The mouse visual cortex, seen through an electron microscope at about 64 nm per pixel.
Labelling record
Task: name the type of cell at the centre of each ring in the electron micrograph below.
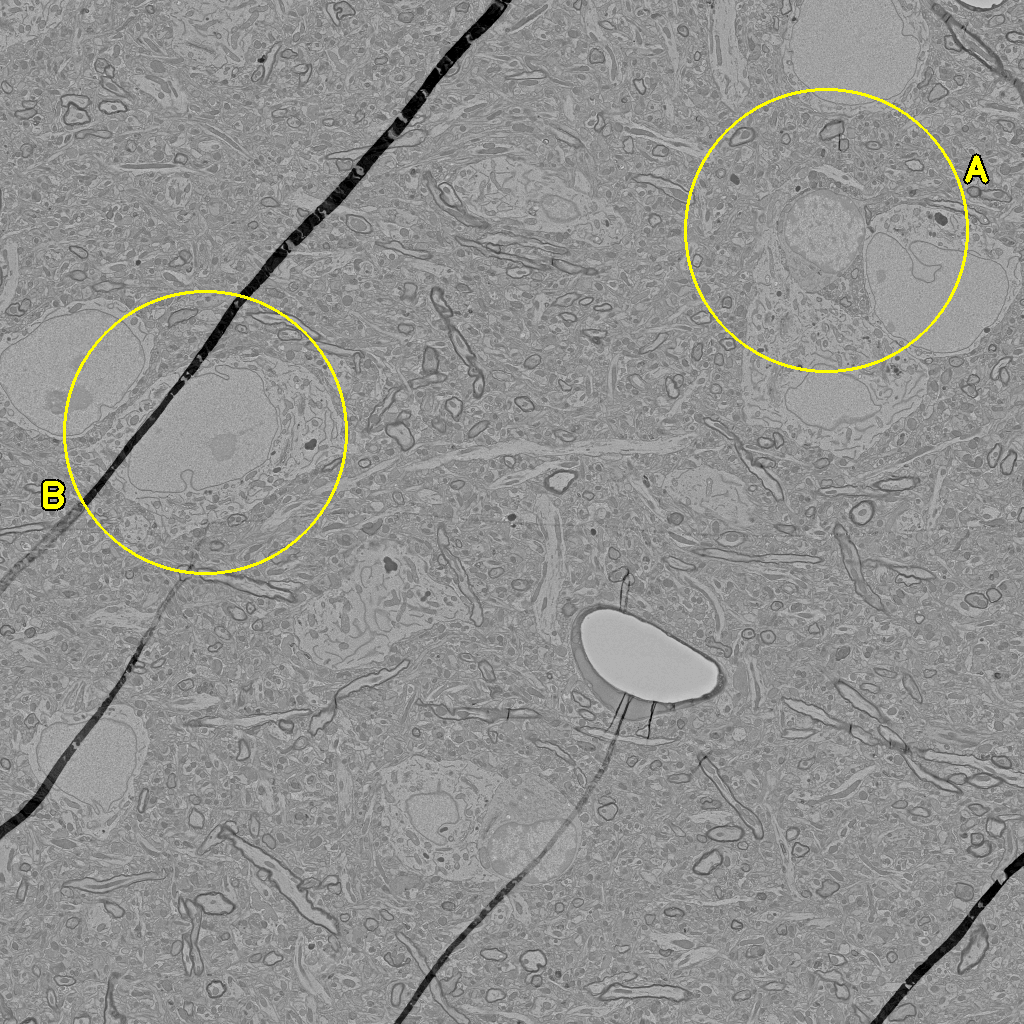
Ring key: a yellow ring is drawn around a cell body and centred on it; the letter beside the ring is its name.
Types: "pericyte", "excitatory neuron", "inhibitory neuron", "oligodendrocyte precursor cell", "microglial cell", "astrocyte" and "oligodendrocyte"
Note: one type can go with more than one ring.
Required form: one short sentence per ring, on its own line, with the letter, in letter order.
In ring A, the centred cell is an oligodendrocyte.
In ring B, the centred cell is an inhibitory neuron.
